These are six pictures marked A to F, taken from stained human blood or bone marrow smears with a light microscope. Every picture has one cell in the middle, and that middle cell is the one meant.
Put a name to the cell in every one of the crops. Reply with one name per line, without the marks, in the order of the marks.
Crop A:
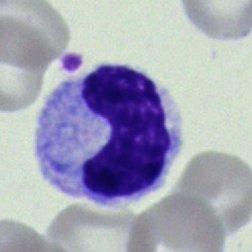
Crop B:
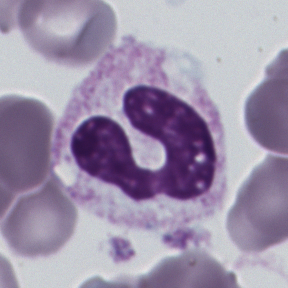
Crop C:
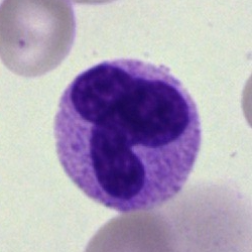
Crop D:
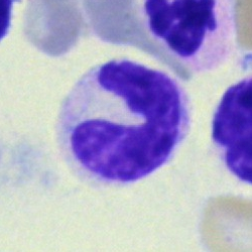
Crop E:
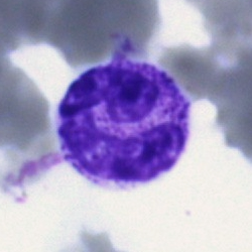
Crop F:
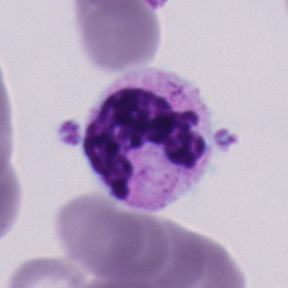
band neutrophil
segmented neutrophil
segmented neutrophil
band neutrophil
band neutrophil
segmented neutrophil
